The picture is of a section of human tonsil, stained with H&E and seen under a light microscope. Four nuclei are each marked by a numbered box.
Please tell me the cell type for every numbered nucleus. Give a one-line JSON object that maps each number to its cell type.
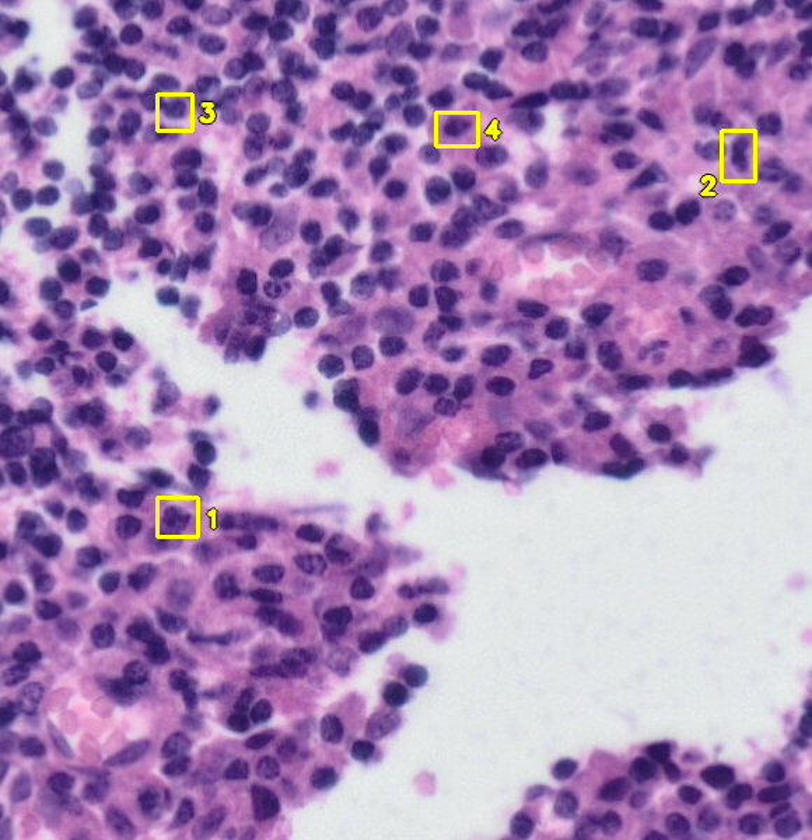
{"1": "plasma cell", "2": "plasma cell", "3": "small lymphocyte", "4": "plasma cell"}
